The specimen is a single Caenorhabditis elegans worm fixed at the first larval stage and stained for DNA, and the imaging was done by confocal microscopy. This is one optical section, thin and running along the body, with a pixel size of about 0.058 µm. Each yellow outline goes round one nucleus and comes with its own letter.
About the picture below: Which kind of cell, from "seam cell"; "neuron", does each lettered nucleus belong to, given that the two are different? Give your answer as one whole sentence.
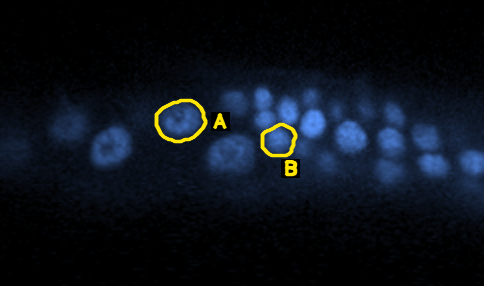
The nucleus A is that of a seam cell, while B is that of a neuron.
